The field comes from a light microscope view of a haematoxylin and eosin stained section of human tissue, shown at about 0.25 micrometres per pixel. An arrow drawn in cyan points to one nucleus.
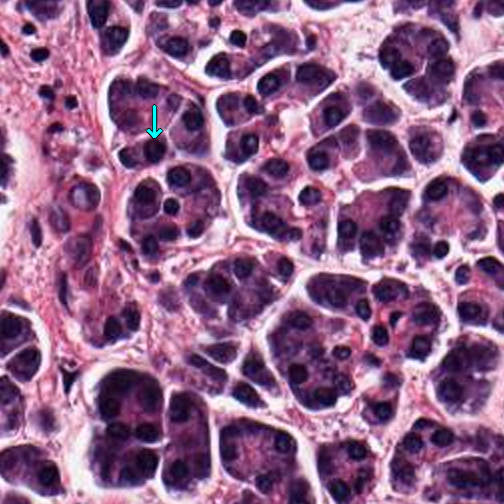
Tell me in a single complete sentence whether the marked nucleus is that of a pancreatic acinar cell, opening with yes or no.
Yes, the cell to which the marked nucleus belongs is a pancreatic acinar cell.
